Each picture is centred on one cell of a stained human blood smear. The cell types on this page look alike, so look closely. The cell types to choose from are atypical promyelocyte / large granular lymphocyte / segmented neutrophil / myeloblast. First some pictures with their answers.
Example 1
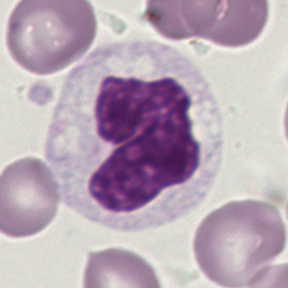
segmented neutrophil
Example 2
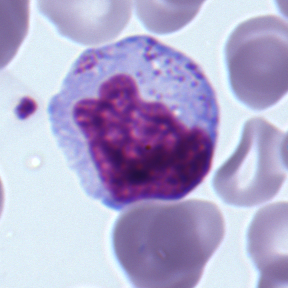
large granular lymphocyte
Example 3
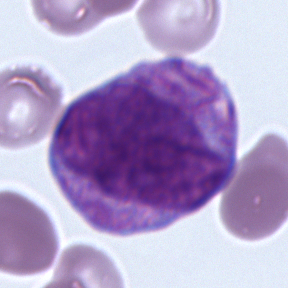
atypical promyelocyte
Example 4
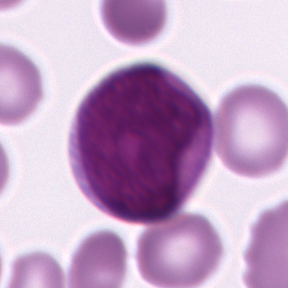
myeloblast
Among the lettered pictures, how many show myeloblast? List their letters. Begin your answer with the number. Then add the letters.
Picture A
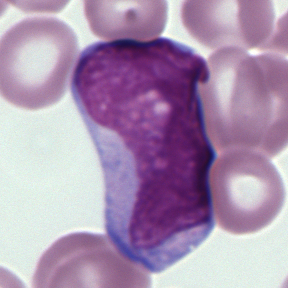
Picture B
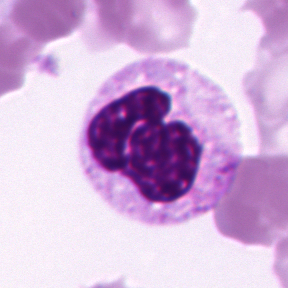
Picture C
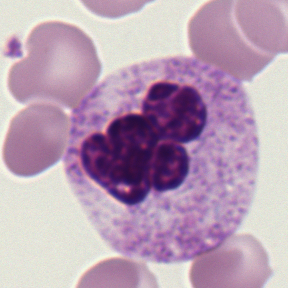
Count: 1 (A)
